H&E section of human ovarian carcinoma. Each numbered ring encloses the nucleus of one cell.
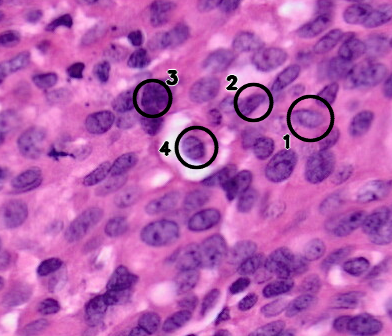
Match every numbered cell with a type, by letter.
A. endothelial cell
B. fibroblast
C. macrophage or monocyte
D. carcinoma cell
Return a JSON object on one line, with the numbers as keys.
{"1": "A", "2": "D", "3": "D", "4": "C"}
